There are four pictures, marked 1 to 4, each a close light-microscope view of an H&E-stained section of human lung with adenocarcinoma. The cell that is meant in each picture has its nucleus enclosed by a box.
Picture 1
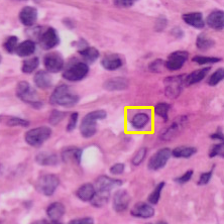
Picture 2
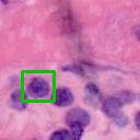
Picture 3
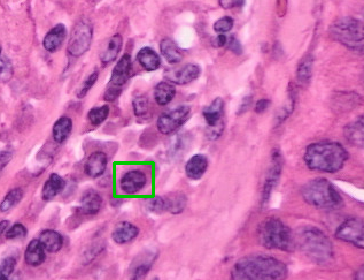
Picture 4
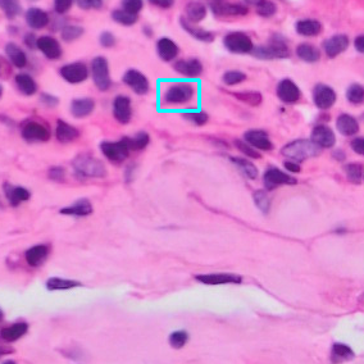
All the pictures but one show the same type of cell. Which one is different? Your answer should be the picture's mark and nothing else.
3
